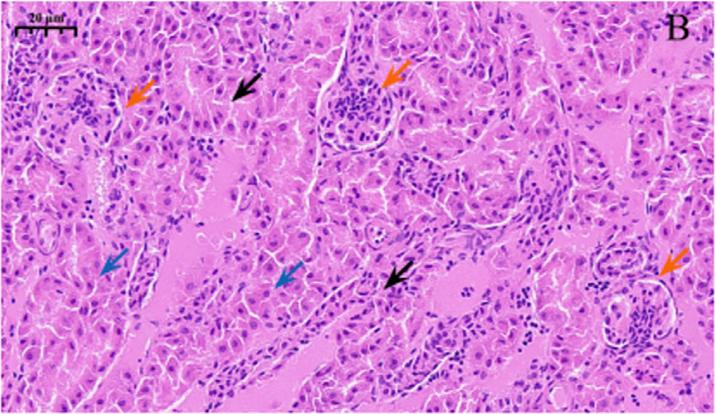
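This is kidney cortex with glomeruli, compact clusters of dark nuclei, set among tubules of pink-staining epithelial cells. Around some glomeruli the clear space and capsule line look uneven and ill-defined, in places tubular cells show pale or missing nuclei, and the borders between neighbouring tubules are hard to follow.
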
